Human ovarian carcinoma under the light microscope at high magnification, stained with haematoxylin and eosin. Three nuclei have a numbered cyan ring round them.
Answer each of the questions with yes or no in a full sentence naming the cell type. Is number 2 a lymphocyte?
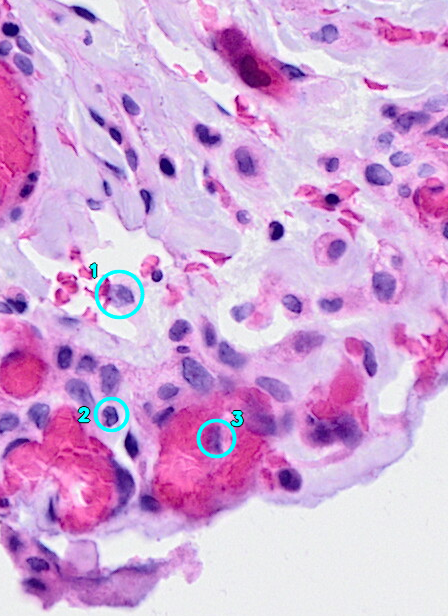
Yes, the cell to which number 2 refers is a lymphocyte.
